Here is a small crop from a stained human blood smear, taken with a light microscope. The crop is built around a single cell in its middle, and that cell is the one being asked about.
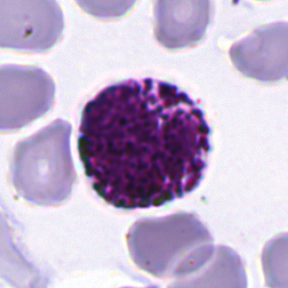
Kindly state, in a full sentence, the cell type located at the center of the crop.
Among the cells in view, the one in the middle is a basophil.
